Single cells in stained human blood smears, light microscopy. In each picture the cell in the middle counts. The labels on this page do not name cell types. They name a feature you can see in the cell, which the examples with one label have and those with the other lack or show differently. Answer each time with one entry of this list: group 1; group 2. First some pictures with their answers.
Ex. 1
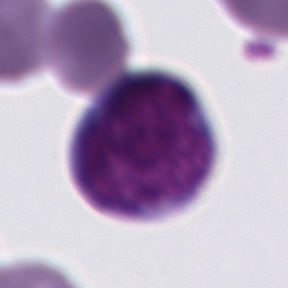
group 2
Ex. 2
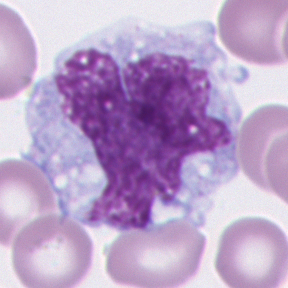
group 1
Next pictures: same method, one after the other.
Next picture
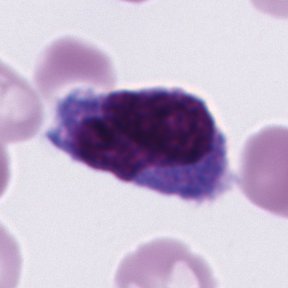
group 2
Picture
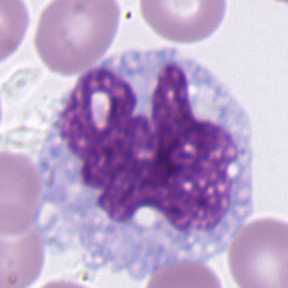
group 1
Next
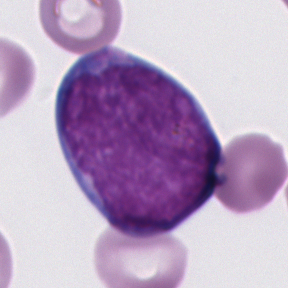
group 2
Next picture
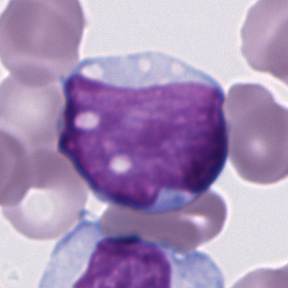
group 1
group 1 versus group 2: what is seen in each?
group 1: vacuoles present; group 2: no vacuoles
